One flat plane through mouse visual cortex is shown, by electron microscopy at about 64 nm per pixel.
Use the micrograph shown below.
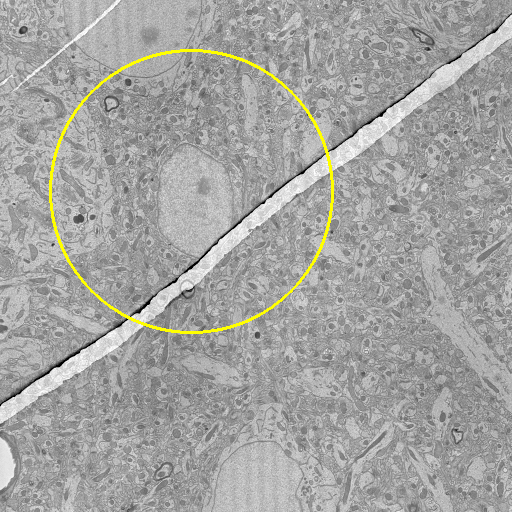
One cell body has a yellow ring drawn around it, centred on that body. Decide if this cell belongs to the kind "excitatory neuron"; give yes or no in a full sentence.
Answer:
No, the cell lying at the ring's centre in the micrograph is of another kind.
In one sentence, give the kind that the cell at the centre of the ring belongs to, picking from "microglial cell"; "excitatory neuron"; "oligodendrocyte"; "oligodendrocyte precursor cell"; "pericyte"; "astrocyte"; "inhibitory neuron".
Here, the ring is centred on an astrocyte instead.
